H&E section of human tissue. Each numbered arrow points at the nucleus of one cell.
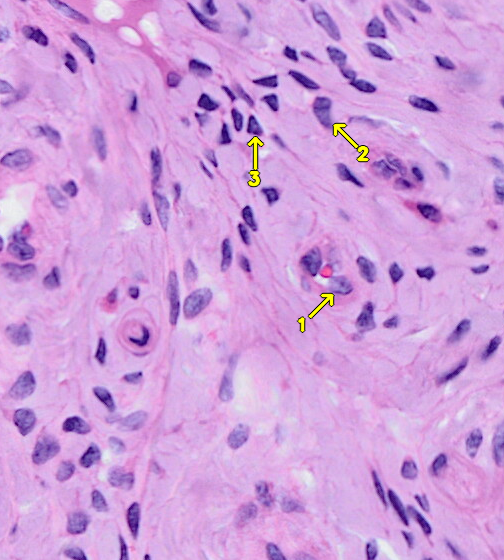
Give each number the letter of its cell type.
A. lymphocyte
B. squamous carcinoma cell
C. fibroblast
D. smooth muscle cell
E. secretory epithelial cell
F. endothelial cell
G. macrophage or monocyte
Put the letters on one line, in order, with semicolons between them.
F; C; C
